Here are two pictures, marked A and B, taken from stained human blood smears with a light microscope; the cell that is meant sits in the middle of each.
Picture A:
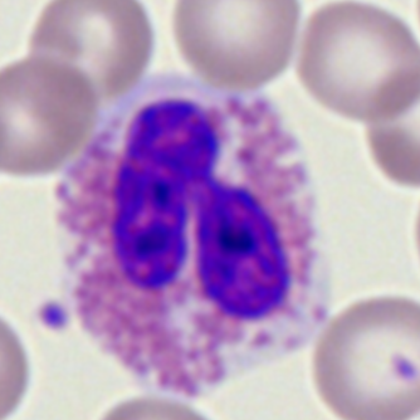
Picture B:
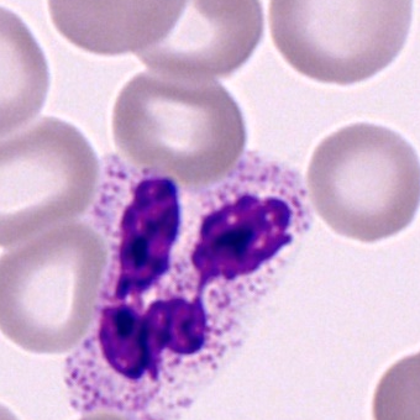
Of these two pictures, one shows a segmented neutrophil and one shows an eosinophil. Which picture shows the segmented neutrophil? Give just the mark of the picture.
B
